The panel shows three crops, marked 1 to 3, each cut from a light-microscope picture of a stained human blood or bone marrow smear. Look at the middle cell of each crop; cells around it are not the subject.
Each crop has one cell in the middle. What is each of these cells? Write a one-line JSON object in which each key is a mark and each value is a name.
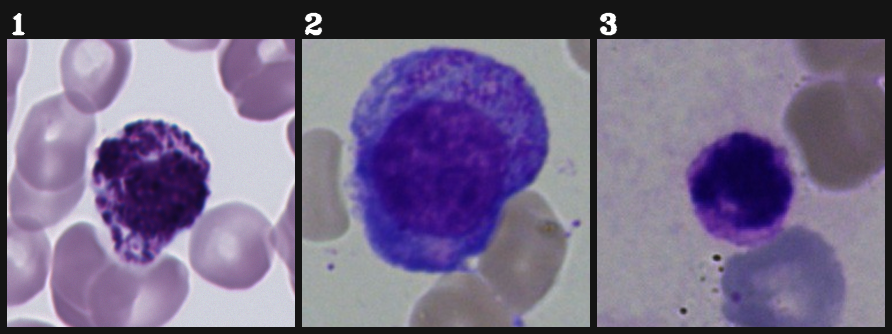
{"1": "basophil", "2": "promyelocyte", "3": "basophil"}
